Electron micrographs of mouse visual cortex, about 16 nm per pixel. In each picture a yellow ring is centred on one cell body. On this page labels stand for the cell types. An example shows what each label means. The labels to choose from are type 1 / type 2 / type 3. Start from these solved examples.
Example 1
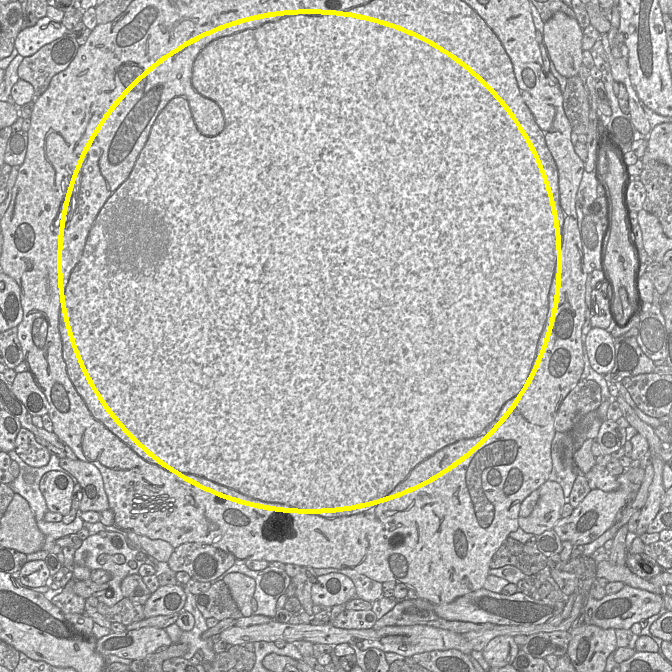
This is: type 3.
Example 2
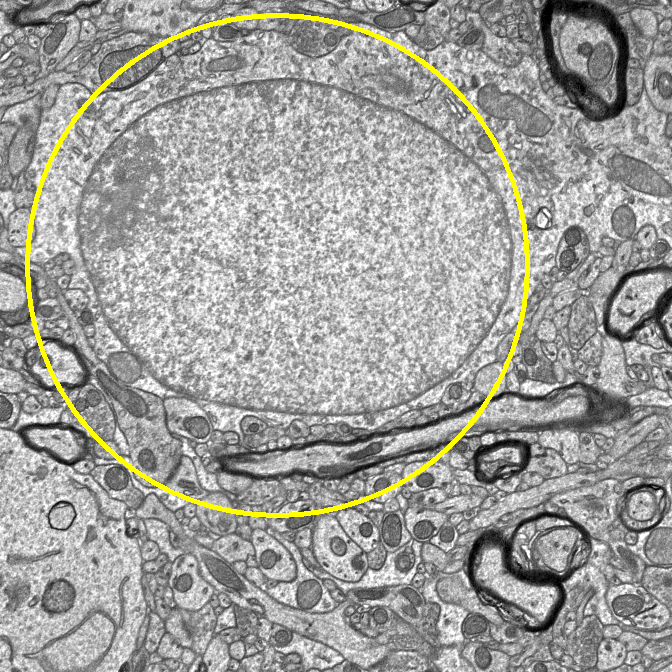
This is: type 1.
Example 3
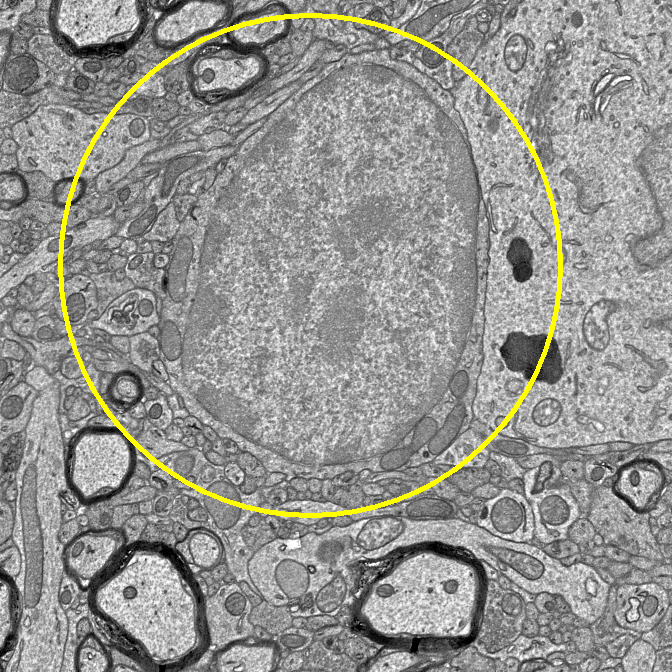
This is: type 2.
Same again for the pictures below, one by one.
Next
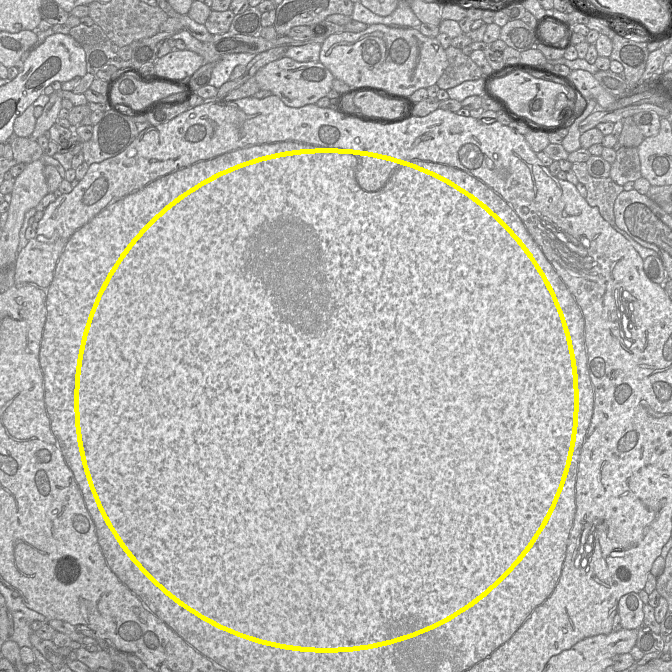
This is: type 3.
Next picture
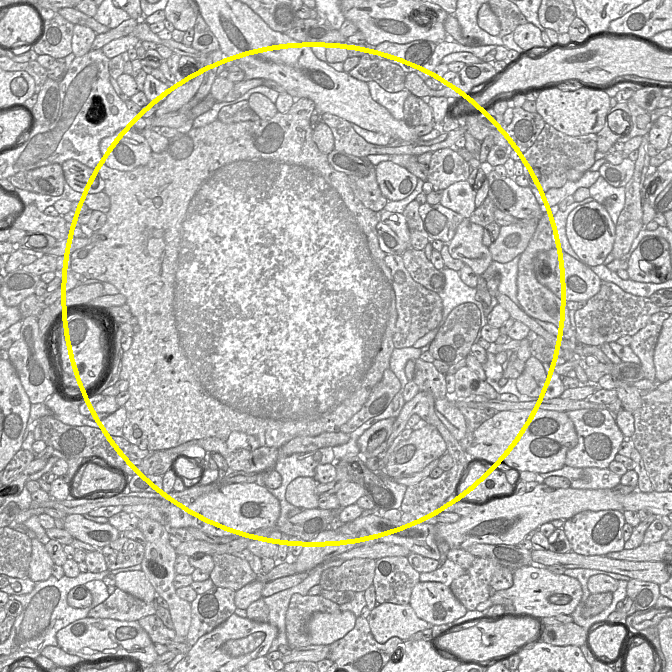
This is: type 2.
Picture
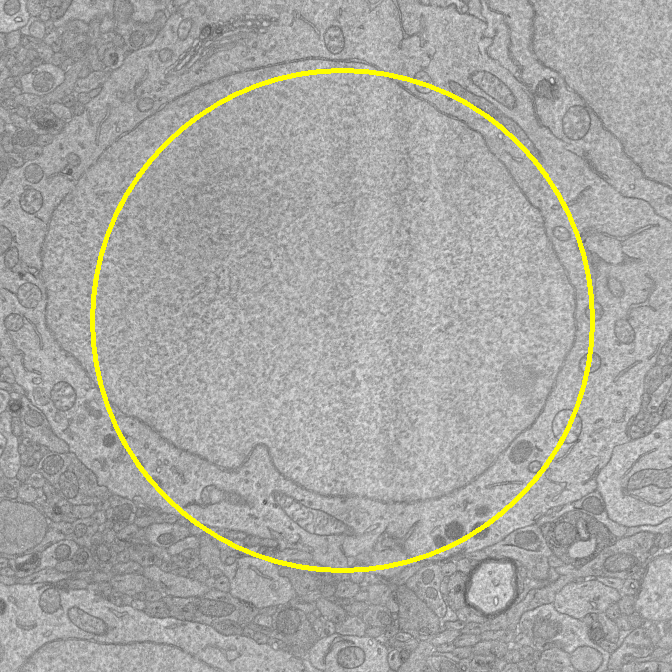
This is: type 3.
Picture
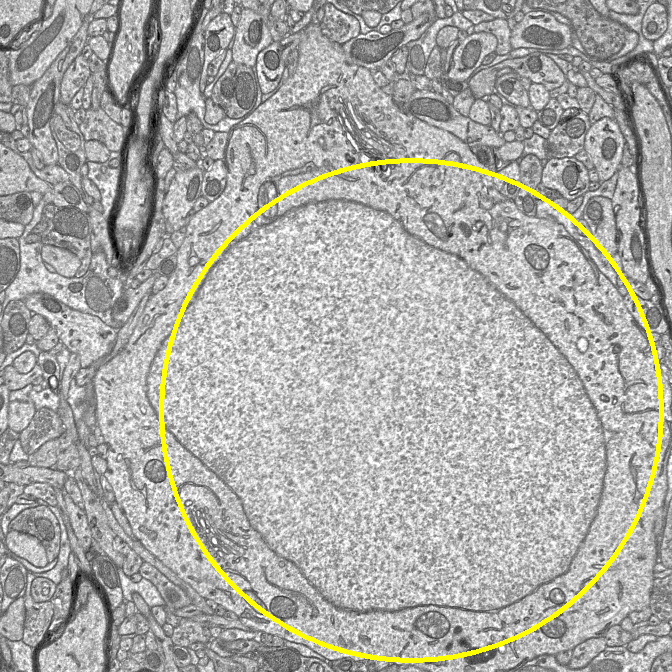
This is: type 3.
